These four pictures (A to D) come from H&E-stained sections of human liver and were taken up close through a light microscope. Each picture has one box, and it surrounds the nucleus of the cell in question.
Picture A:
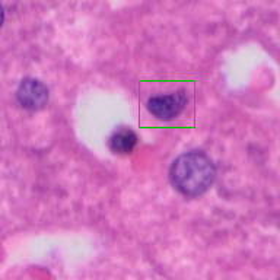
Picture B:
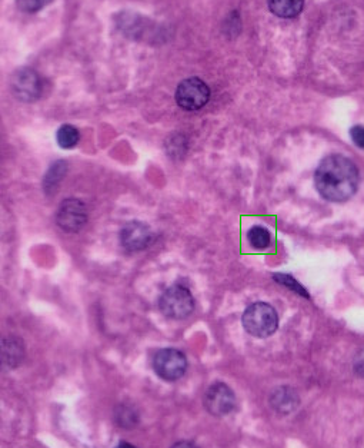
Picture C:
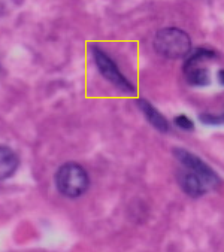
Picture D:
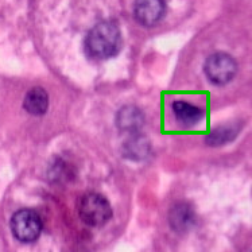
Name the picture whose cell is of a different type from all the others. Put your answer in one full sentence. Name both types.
The different one is picture B; it shows a lymphocyte, whereas all the others show “fibroblasts or stellate cells”.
